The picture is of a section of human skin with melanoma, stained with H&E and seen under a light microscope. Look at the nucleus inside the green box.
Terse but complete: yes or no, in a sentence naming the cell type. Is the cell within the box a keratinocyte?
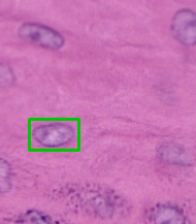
Yes, it holds that the cell within the box is a keratinocyte.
